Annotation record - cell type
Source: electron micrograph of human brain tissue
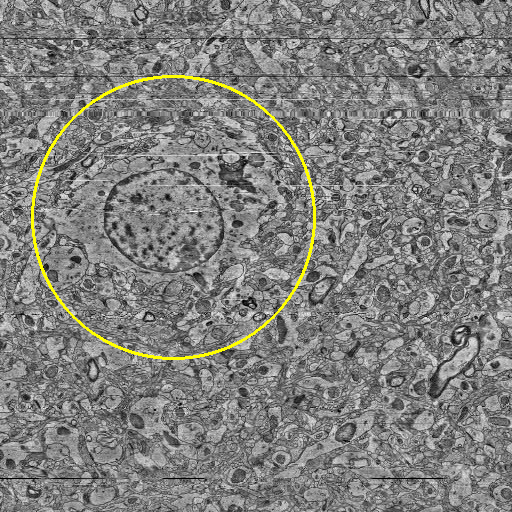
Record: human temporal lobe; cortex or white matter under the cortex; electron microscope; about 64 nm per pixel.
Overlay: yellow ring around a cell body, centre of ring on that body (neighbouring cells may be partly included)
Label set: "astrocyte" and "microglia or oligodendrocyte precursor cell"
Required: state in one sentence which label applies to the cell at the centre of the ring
This cell should be labelled as an astrocyte.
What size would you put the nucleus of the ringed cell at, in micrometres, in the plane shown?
The nucleus measures about 8 micrometers across in this plane.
